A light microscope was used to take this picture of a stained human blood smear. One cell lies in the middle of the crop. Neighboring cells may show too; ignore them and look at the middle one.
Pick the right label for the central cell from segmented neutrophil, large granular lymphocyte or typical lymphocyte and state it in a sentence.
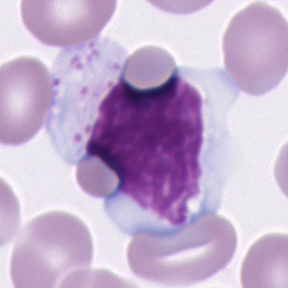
Positioned in the middle of the crop is a large granular lymphocyte.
